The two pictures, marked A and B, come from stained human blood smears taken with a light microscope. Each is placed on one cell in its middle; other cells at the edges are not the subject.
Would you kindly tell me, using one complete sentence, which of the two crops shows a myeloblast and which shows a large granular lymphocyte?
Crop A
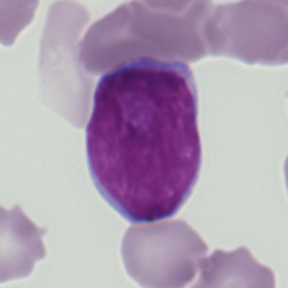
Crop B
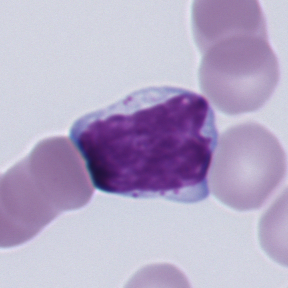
There is a myeloblast in crop A and a large granular lymphocyte in crop B.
